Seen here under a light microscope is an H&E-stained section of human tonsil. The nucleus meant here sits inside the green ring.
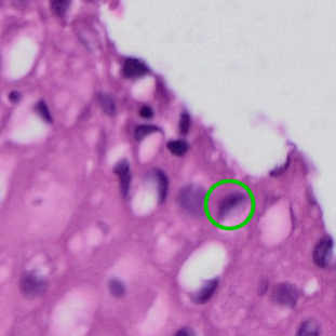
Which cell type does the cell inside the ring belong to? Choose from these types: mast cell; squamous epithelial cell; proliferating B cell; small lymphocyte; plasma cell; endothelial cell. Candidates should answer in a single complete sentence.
In this section of tissue, the cell inside the ring is a squamous epithelial cell.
